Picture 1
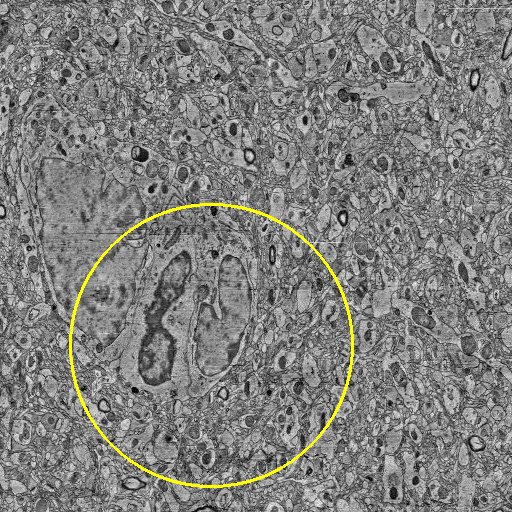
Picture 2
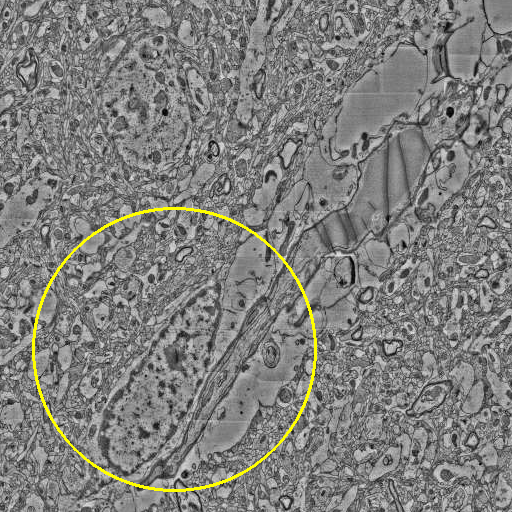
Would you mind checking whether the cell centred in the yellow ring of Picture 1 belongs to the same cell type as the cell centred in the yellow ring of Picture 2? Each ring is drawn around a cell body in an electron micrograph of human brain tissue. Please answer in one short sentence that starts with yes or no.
Yes, both cells are of the same type.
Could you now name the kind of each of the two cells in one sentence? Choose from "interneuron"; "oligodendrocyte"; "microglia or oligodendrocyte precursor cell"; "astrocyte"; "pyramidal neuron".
In each picture the ringed cell is a microglial cell or oligodendrocyte precursor cell.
